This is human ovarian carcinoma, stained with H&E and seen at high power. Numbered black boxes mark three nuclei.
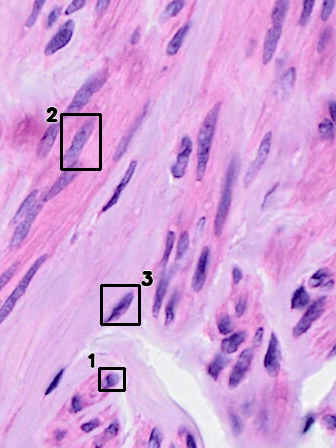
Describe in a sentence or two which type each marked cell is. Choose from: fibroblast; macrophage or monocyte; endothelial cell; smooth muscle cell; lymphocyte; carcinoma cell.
Cell 1 is a smooth muscle cell, cell 2 is a smooth muscle cell and cell 3 is a fibroblast.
